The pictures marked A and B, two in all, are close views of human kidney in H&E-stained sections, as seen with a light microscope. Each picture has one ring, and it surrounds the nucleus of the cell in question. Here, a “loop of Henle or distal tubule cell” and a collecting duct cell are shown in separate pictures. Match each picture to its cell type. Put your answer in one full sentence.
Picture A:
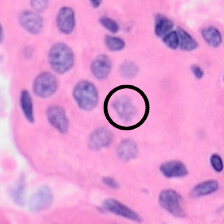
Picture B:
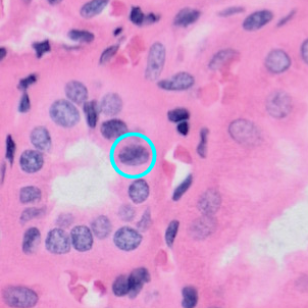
Picture A shows a “loop of Henle or distal tubule cell” and picture B shows a collecting duct cell.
